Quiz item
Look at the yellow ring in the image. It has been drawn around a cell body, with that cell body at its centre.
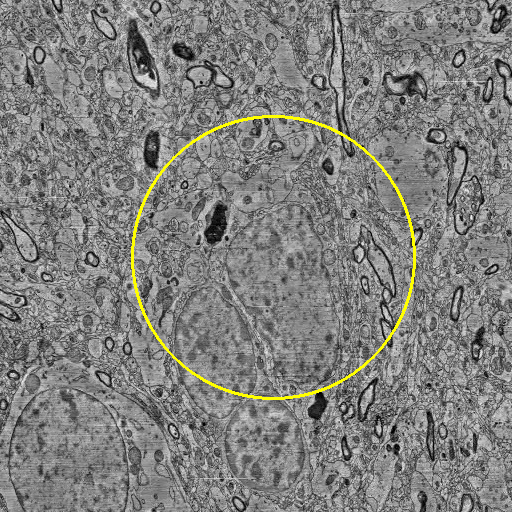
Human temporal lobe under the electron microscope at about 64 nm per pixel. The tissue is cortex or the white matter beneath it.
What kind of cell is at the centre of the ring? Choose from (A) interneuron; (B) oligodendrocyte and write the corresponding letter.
A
